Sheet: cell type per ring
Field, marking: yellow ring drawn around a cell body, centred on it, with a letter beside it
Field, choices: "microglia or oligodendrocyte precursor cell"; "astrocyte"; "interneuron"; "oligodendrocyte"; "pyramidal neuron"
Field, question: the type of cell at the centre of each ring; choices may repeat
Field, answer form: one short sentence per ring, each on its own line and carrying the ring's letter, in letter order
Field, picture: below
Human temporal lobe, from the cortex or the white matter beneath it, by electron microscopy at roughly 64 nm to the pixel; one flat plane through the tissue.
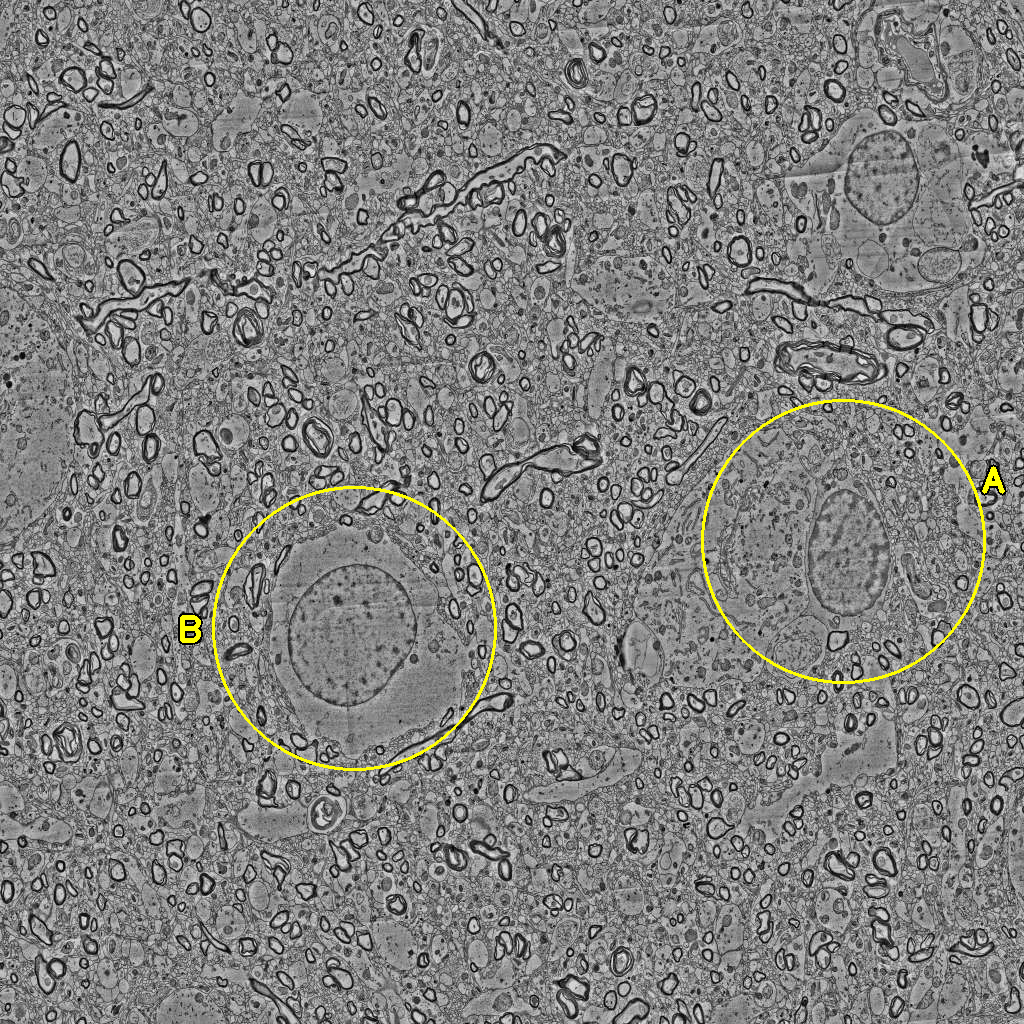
The cell body inside ring A, at its centre, is an oligodendrocyte.
The cell body inside ring B, at its centre, is an astrocyte.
